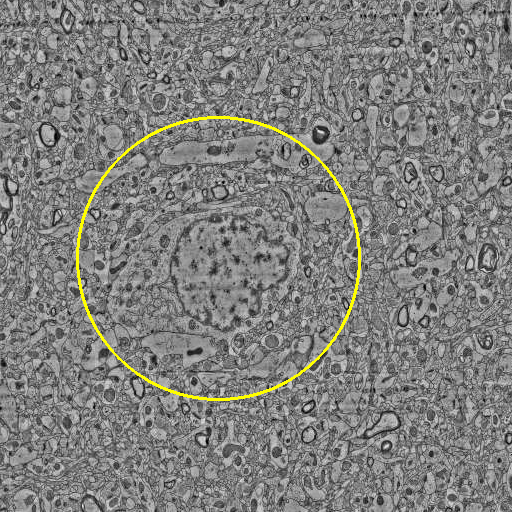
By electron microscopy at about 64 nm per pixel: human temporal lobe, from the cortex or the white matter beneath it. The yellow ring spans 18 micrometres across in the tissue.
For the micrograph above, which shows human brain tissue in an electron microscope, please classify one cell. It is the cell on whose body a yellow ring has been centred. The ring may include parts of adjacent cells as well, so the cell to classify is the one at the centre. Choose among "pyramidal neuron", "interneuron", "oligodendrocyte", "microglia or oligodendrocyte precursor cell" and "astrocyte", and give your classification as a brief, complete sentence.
I classify this cell as an interneuron.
